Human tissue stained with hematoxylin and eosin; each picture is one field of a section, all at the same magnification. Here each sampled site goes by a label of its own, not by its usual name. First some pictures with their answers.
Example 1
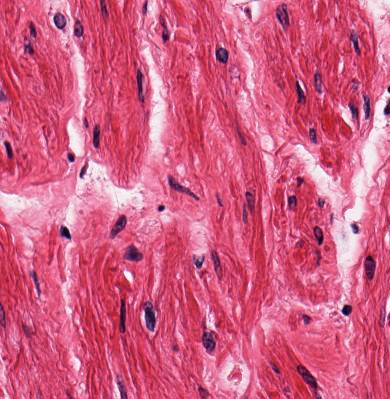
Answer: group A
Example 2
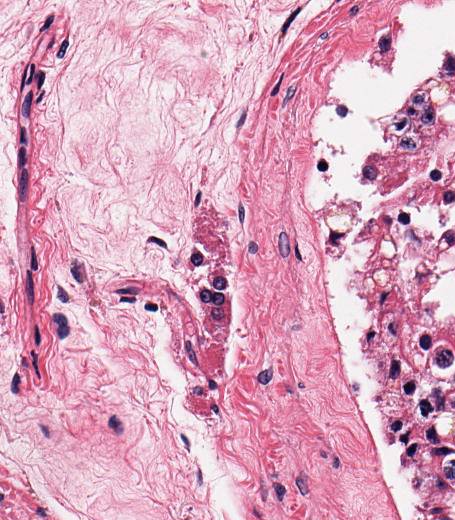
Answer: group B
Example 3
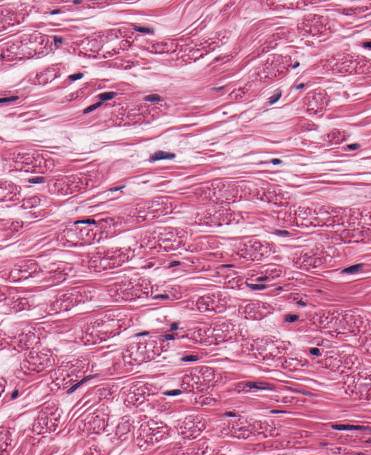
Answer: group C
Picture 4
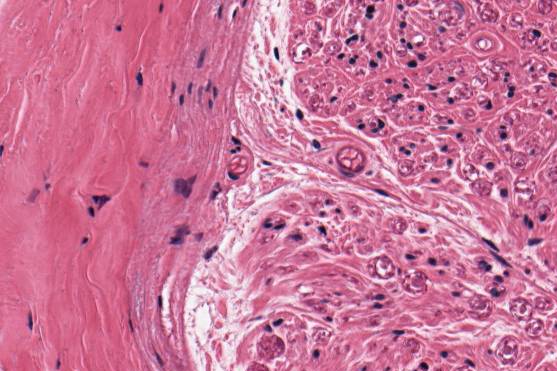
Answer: group C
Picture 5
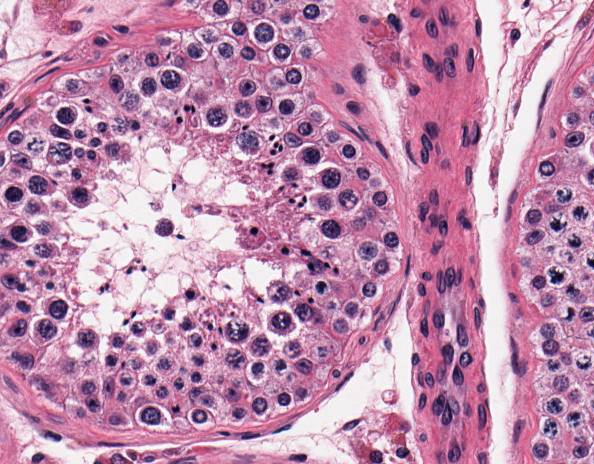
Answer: group B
